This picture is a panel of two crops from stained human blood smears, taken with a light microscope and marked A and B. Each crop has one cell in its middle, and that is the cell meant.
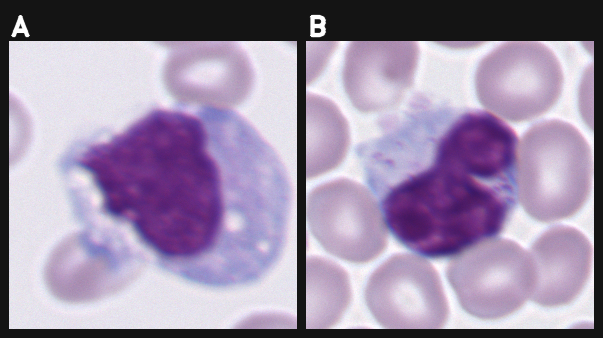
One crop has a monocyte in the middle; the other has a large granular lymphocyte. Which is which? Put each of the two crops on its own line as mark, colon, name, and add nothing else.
A: monocyte
B: large granular lymphocyte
